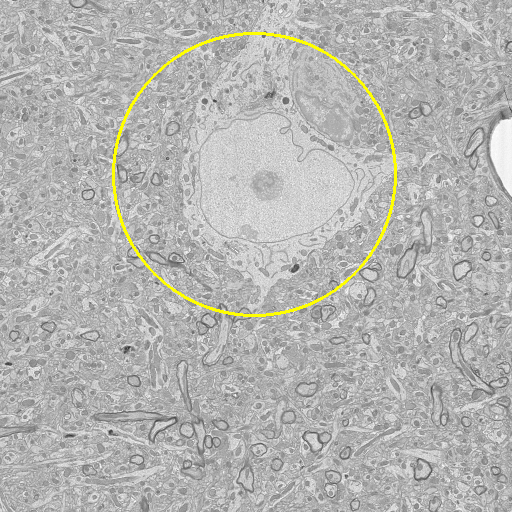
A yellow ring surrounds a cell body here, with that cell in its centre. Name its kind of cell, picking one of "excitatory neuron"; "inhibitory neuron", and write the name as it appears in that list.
excitatory neuron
